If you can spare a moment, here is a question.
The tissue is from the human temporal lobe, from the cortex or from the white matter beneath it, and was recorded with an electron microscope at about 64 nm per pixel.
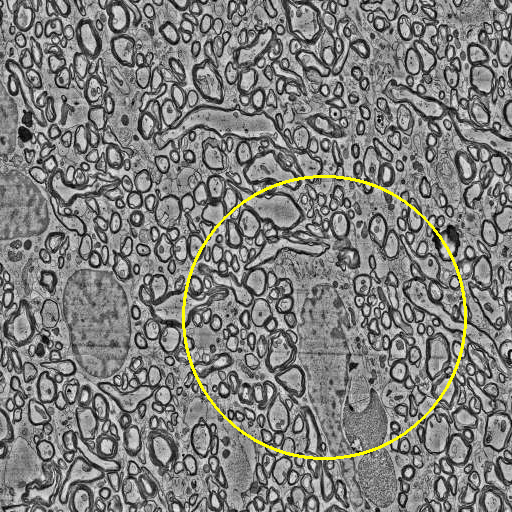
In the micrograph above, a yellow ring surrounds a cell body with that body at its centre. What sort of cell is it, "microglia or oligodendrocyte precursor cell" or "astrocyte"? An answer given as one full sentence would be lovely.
Centred inside the yellow ring, the cell body shown belongs to an astrocyte in this micrograph.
